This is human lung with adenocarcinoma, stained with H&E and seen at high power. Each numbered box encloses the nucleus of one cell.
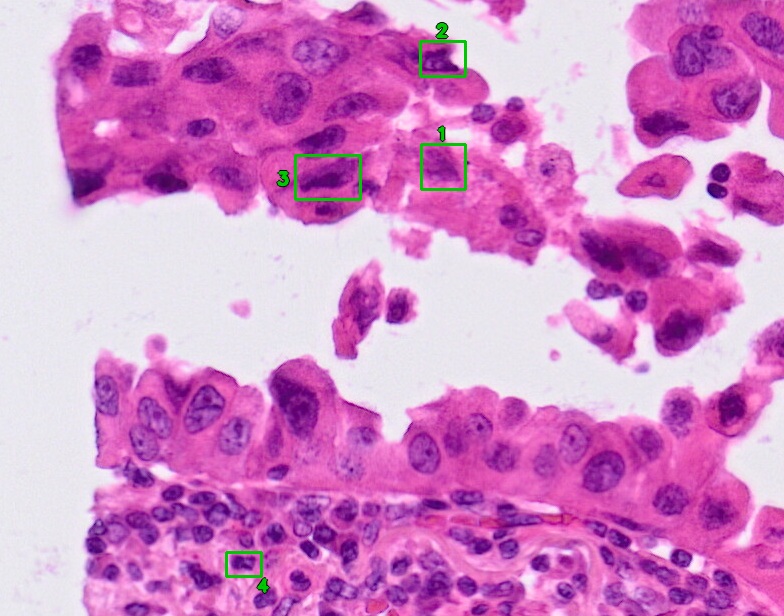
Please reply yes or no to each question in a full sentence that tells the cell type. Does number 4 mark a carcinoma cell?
No, cell 4 represents a lymphocyte rather than a carcinoma cell.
